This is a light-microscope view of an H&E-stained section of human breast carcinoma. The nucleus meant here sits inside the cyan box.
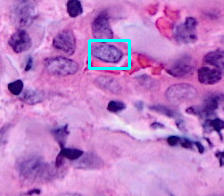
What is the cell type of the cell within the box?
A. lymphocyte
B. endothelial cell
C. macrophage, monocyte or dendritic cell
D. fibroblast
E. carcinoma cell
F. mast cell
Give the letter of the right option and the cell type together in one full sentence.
It is as option B has it, the cell within the box being an endothelial cell.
